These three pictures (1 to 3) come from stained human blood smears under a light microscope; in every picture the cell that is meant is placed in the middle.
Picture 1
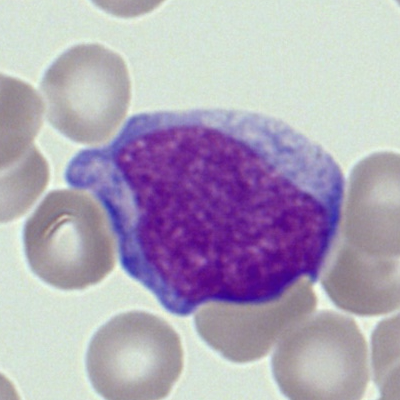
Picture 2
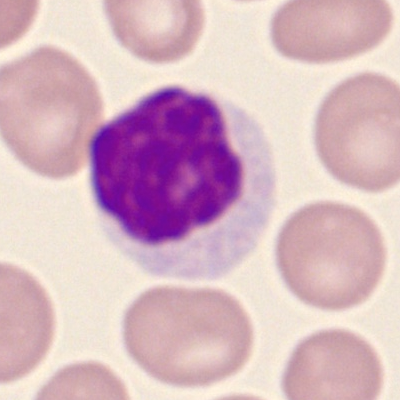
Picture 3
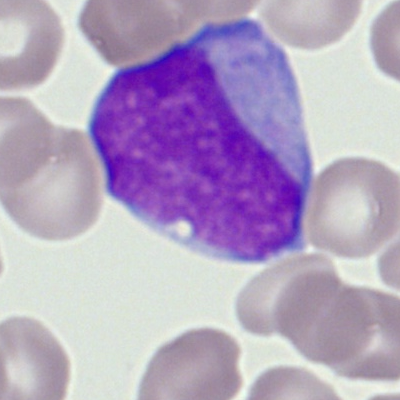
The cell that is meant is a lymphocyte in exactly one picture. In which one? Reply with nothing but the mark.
2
